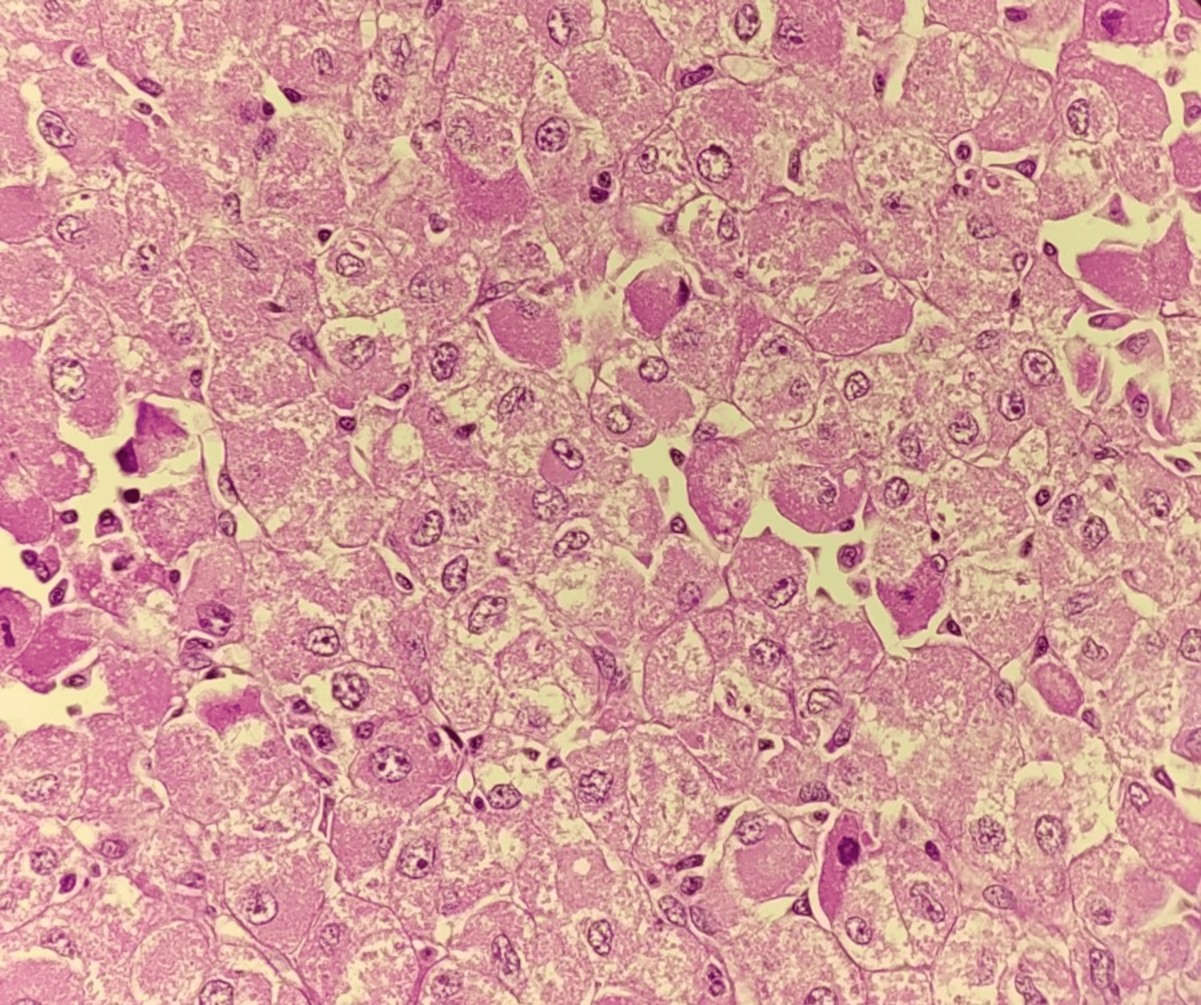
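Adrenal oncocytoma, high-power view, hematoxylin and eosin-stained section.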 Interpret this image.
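The field shows sheets of large polygonal oncocytic cells with distinct cell borders and abundant eosinophilic, finely granular cytoplasm that fills most of each cell. The cells are packed closely in a solid arrangement, separated by thin strands and narrow clefts containing small, dark, elongated nuclei of lining or stromal cells. Scattered cells have denser, deeper pink cytoplasm and darker nuclei. Small irregular pale spaces lie between some groups of cells.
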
